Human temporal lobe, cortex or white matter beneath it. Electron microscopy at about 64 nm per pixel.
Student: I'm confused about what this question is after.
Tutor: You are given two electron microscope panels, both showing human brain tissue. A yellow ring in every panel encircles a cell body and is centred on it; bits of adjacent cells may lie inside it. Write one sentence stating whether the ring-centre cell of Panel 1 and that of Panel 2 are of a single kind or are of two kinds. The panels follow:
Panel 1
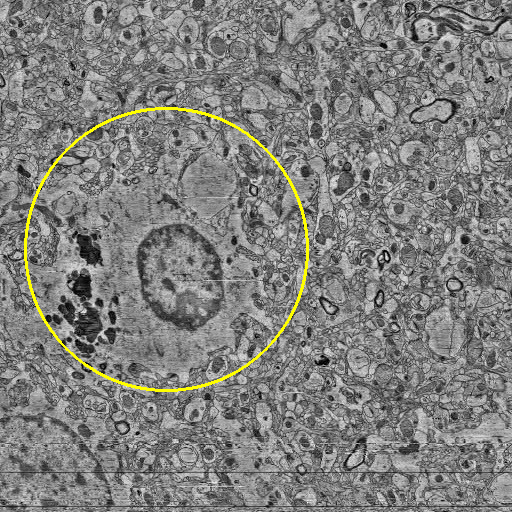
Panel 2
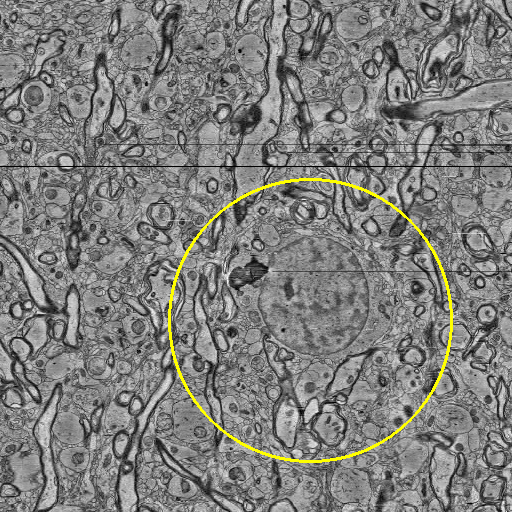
Here, the Panel 1 ring-centre cell and the Panel 2 ring-centre cell are of two kinds.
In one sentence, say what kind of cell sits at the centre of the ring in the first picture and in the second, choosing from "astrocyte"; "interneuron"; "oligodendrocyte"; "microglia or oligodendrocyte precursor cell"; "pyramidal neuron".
The first picture's ringed cell is an astrocyte, while the second picture's is an oligodendrocyte.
